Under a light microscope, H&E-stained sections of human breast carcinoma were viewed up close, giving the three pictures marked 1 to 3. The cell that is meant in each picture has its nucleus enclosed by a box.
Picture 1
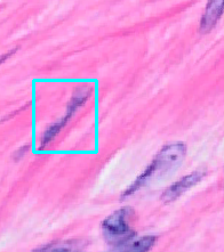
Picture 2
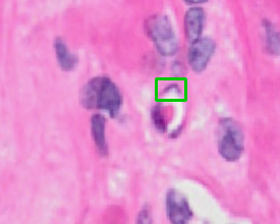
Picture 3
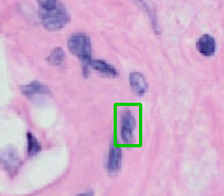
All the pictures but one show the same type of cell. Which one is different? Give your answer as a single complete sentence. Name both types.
The different one is picture 1; it shows a fibroblast, whereas all the others show endothelial cells.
